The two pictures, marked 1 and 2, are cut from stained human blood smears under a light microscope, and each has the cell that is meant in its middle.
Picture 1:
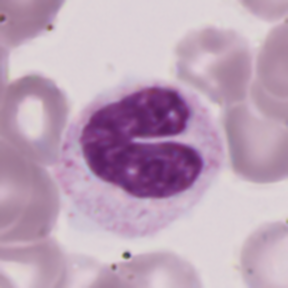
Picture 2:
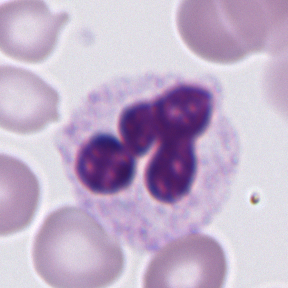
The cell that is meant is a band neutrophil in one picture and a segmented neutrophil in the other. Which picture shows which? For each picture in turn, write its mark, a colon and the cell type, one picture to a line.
1: band neutrophil
2: segmented neutrophil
